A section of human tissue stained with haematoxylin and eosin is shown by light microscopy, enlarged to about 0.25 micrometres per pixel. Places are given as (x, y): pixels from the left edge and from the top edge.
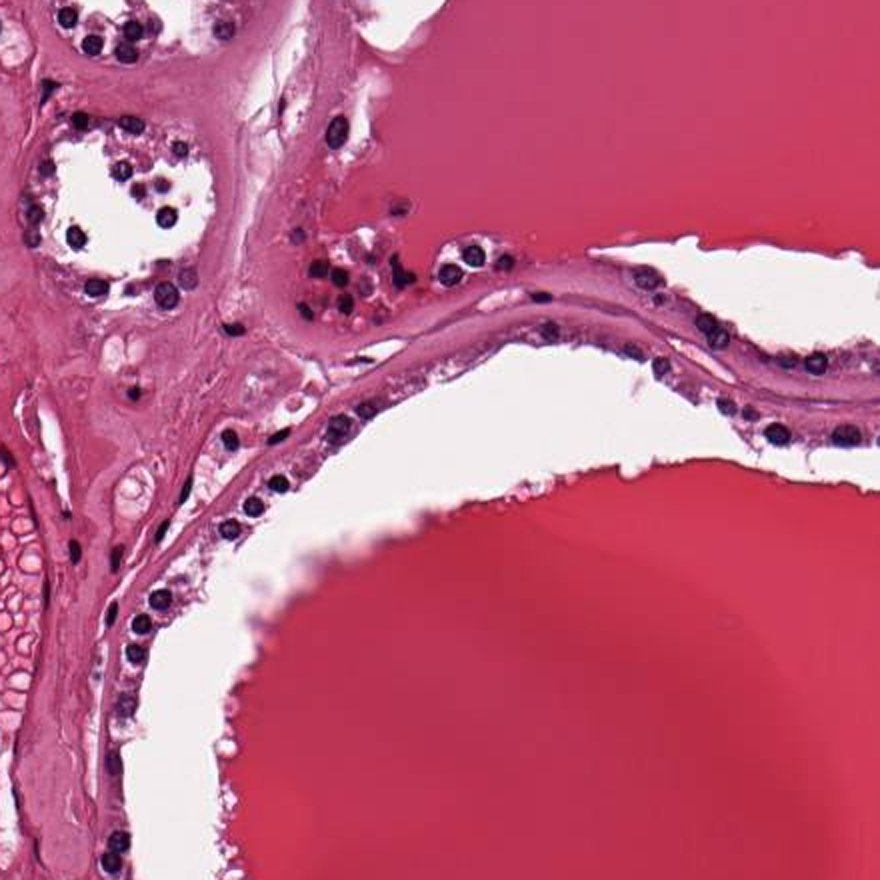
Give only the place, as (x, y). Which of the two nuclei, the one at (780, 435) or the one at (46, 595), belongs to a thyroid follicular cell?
(780, 435)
